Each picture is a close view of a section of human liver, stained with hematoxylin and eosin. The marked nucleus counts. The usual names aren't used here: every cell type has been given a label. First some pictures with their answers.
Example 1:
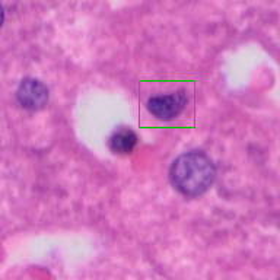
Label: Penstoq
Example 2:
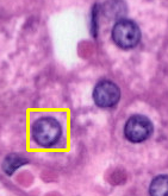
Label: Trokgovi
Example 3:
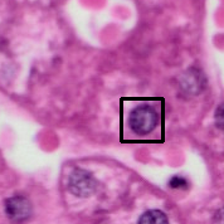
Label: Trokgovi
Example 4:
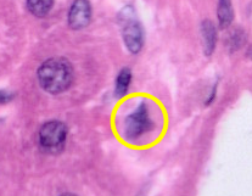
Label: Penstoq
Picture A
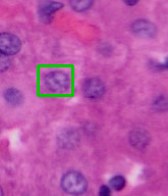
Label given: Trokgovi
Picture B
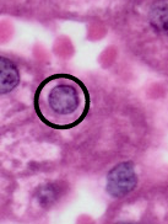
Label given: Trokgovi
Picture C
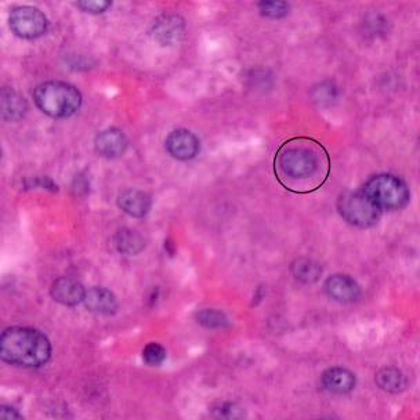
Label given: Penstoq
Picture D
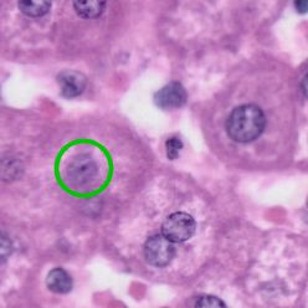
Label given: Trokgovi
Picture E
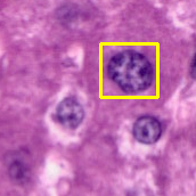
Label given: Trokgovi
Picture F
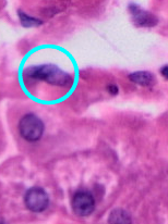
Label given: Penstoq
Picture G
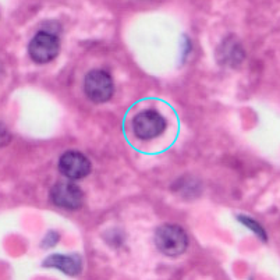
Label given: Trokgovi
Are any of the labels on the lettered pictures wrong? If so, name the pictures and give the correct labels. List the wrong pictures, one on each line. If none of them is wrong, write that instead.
Wrong: C (Penstoq); correct: Trokgovi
